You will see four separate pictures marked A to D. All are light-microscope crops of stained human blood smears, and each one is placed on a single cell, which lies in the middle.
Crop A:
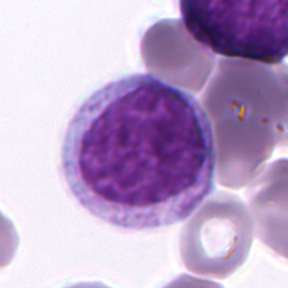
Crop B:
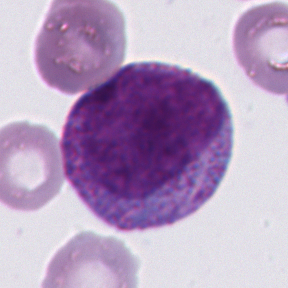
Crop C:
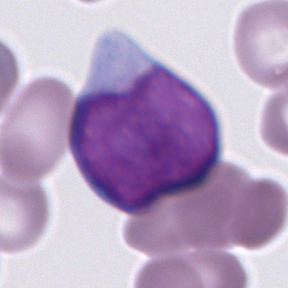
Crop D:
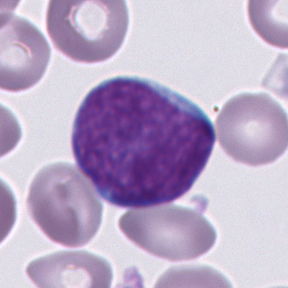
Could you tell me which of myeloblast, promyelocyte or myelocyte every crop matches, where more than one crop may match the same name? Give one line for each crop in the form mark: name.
A: myelocyte
B: promyelocyte
C: myeloblast
D: myeloblast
